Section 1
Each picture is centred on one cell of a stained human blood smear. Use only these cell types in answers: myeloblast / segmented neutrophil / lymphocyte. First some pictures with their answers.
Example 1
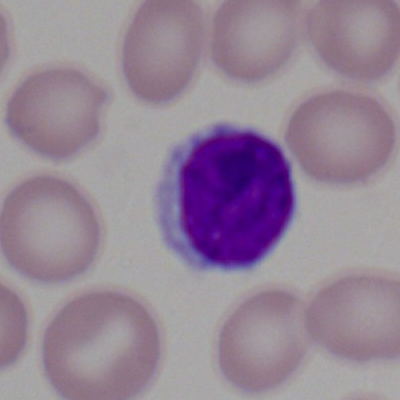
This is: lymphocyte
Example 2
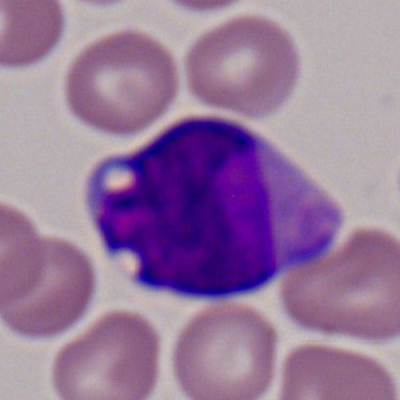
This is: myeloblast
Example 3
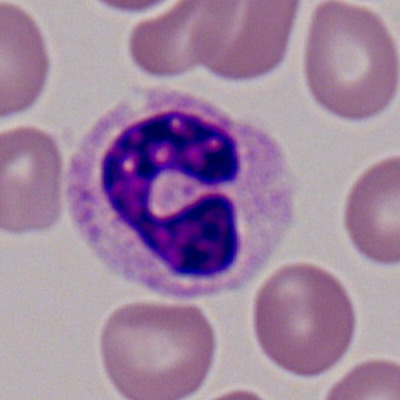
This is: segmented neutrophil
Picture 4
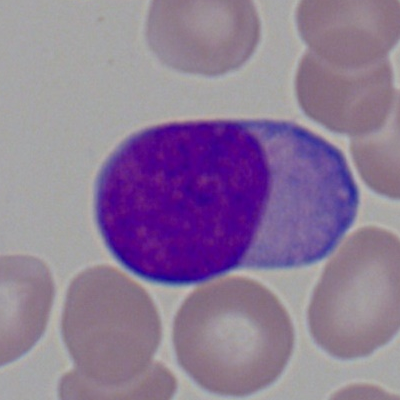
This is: myeloblast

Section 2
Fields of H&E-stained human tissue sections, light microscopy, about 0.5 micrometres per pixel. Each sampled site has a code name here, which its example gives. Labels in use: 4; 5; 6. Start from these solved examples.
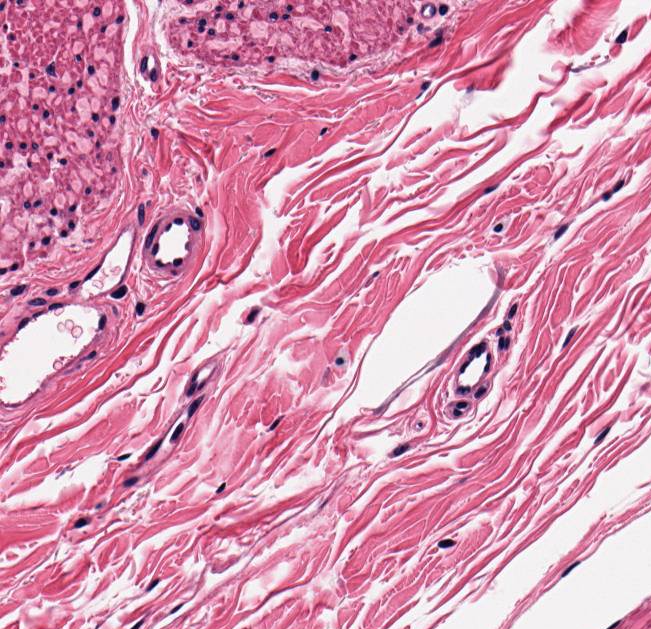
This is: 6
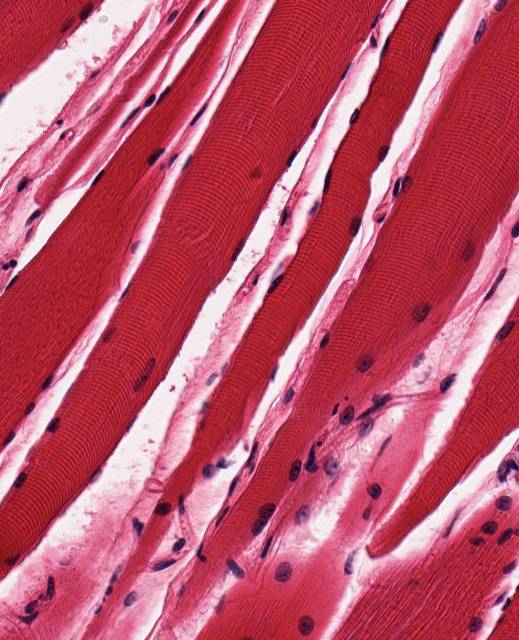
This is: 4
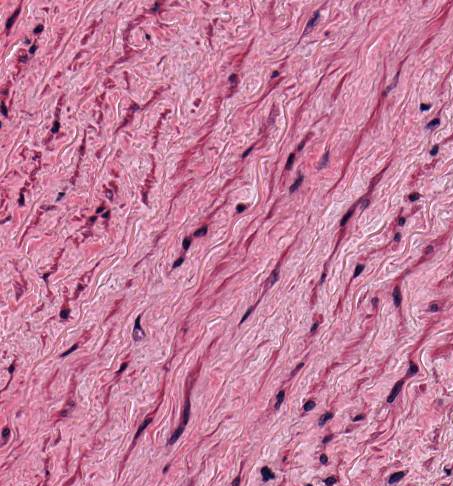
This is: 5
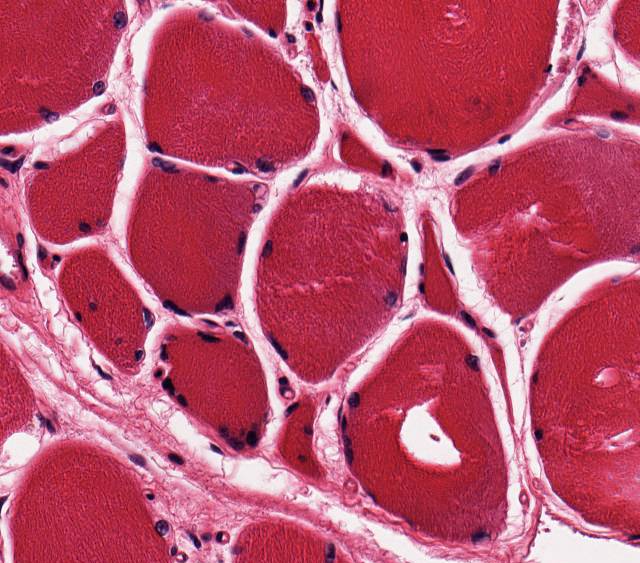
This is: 4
